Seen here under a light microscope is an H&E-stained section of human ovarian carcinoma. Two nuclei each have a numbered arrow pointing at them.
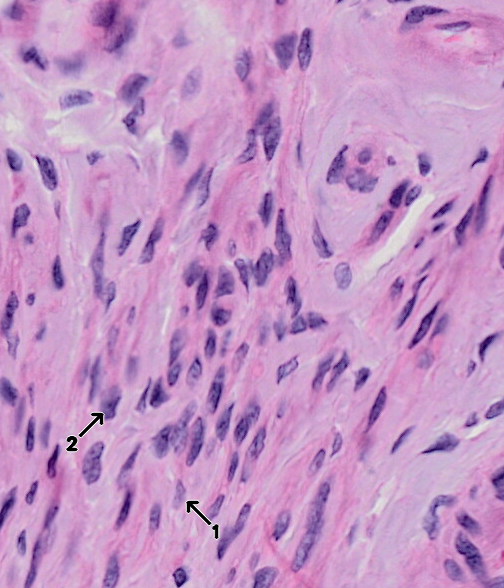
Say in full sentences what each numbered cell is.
Cell 1 is a smooth muscle cell. Cell 2 is a fibroblast.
